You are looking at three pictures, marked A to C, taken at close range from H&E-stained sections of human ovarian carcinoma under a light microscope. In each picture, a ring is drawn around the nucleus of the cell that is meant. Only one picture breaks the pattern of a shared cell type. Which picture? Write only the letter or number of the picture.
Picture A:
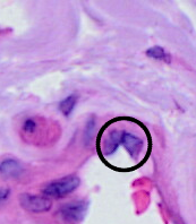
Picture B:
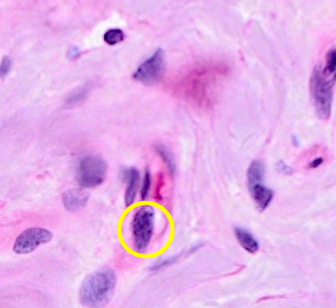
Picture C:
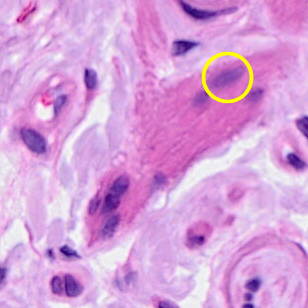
C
